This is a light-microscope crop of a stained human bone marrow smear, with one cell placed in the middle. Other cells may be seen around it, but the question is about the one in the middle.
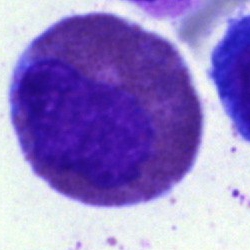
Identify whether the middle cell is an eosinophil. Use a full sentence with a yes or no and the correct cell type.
Yes, that is right: the middle cell is an eosinophil.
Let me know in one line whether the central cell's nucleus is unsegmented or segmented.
Worth pointing out that its nucleus is one compact mass, round, oval or reniform.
